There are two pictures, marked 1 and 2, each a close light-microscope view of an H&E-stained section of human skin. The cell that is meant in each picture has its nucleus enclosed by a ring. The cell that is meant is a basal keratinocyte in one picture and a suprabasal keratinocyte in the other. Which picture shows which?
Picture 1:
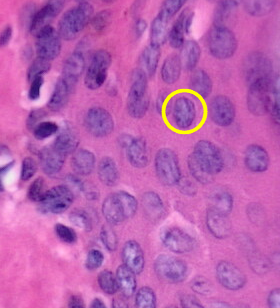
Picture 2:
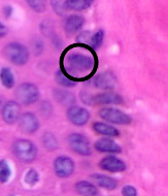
1: suprabasal keratinocyte
2: basal keratinocyte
